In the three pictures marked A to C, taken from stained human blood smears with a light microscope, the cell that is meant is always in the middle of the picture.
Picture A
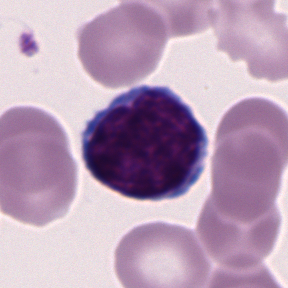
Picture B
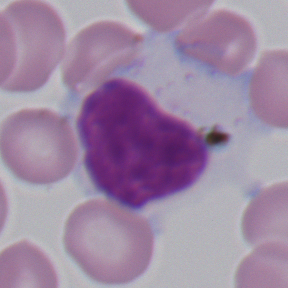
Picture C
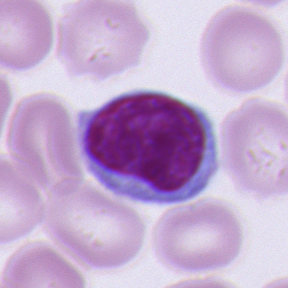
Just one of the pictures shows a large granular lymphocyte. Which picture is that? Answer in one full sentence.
The cell in picture B is the large granular lymphocyte.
